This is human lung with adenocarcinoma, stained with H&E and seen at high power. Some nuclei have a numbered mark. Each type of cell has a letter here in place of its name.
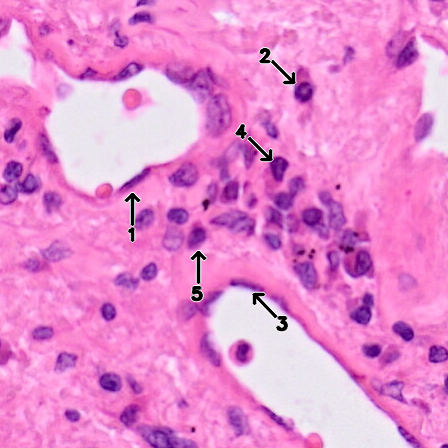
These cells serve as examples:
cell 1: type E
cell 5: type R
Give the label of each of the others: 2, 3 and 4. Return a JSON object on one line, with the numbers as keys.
{"2": "type R", "3": "type E", "4": "type R"}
